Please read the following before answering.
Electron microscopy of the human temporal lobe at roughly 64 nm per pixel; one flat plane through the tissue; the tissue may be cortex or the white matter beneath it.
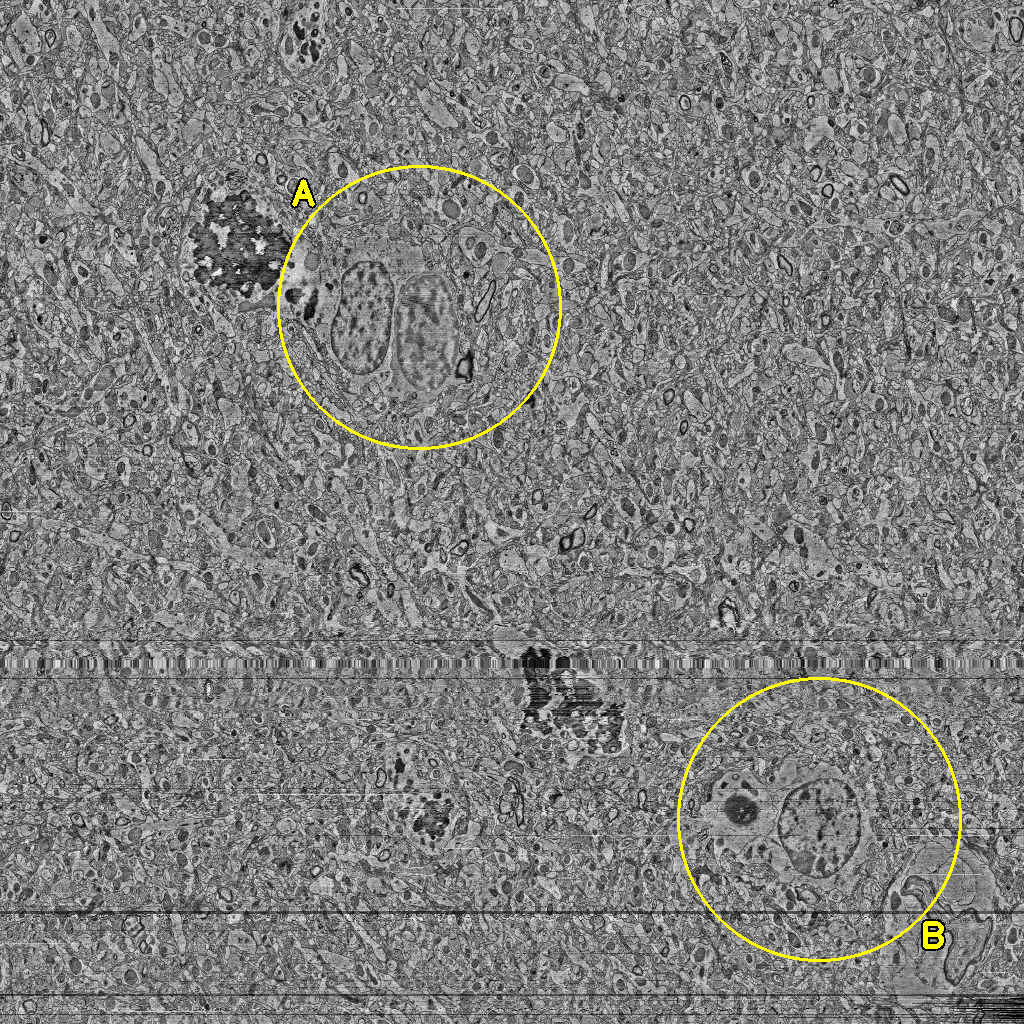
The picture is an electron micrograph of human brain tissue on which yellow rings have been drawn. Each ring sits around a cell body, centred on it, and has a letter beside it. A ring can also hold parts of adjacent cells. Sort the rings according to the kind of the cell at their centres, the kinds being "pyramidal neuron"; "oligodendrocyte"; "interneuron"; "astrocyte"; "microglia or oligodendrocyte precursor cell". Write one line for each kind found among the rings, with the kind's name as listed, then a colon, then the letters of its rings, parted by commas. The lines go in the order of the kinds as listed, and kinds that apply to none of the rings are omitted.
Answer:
oligodendrocyte: A
astrocyte: B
